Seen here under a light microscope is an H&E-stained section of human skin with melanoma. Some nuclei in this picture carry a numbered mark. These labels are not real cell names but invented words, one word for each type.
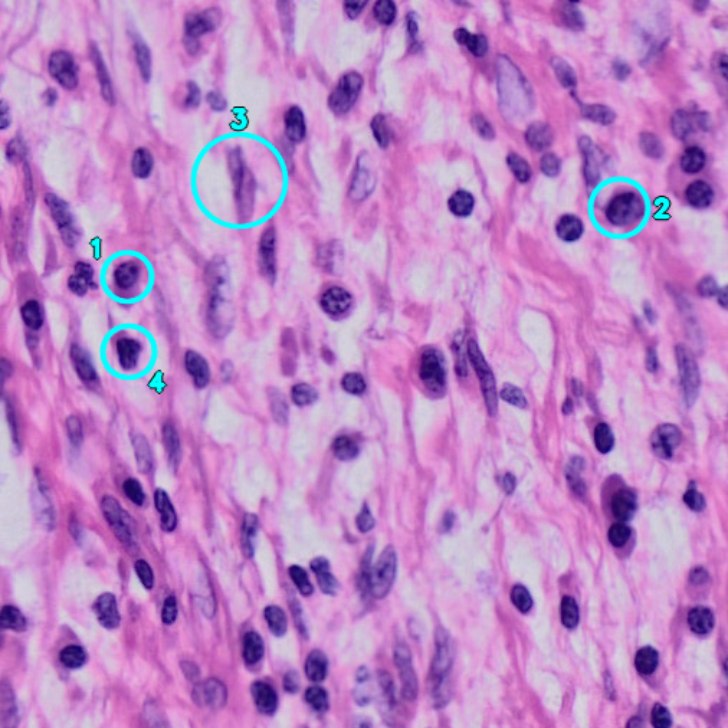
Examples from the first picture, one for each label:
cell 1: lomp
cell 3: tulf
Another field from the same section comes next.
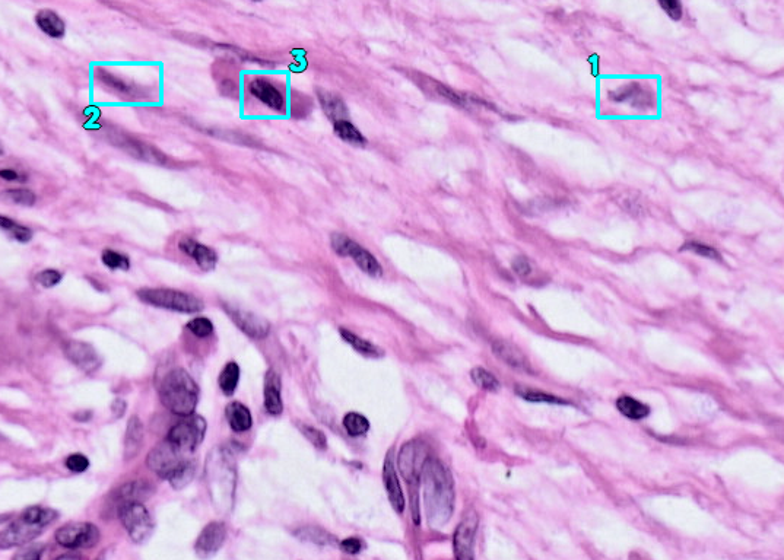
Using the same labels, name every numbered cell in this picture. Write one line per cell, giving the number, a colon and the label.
1: tulf
2: tulf
3: lomp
